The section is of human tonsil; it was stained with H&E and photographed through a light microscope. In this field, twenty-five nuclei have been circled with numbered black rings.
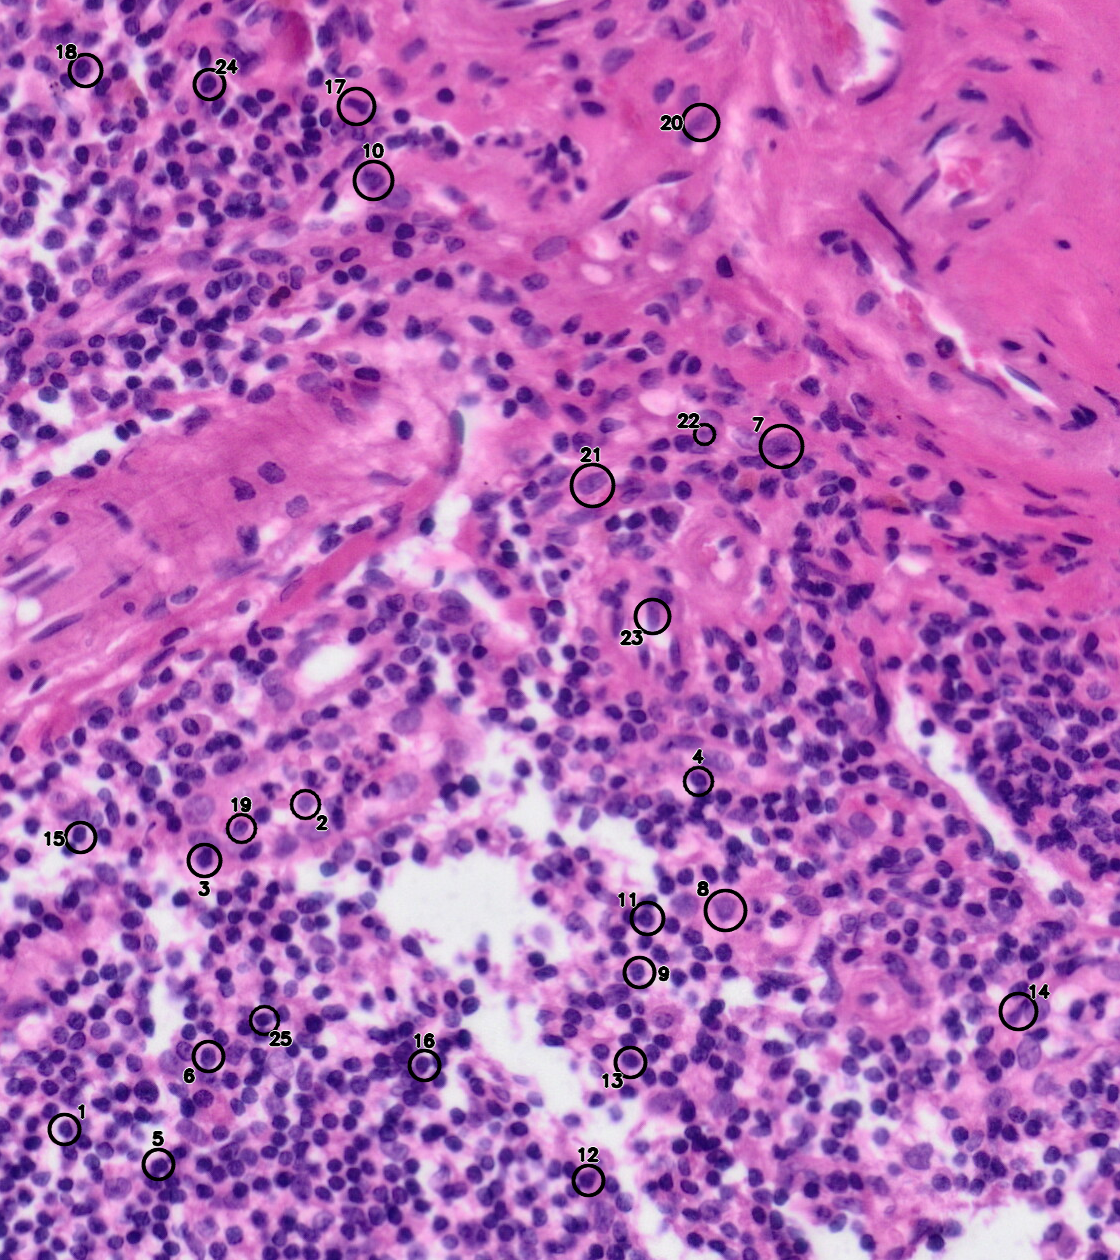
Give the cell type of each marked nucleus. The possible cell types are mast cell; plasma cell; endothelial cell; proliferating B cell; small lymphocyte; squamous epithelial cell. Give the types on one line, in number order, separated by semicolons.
small lymphocyte; endothelial cell; endothelial cell; endothelial cell; small lymphocyte; small lymphocyte; endothelial cell; endothelial cell; small lymphocyte; endothelial cell; small lymphocyte; small lymphocyte; small lymphocyte; endothelial cell; small lymphocyte; small lymphocyte; mast cell; plasma cell; endothelial cell; endothelial cell; endothelial cell; endothelial cell; endothelial cell; plasma cell; small lymphocyte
